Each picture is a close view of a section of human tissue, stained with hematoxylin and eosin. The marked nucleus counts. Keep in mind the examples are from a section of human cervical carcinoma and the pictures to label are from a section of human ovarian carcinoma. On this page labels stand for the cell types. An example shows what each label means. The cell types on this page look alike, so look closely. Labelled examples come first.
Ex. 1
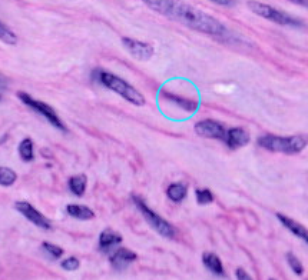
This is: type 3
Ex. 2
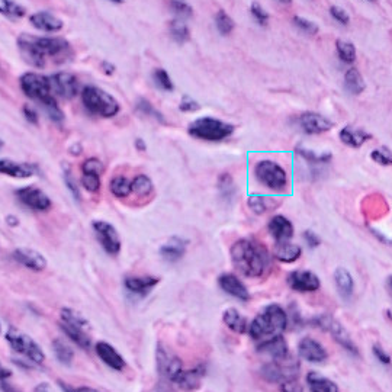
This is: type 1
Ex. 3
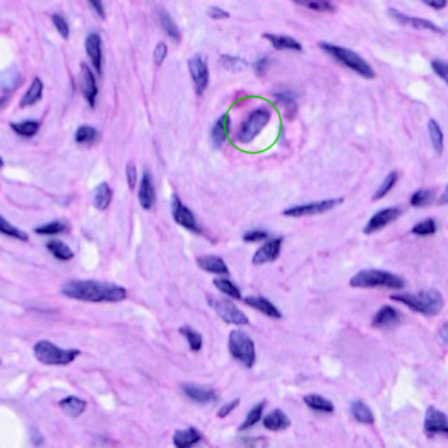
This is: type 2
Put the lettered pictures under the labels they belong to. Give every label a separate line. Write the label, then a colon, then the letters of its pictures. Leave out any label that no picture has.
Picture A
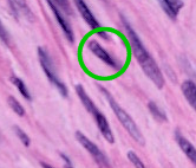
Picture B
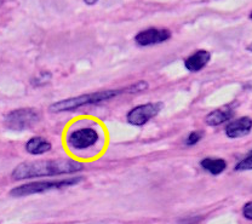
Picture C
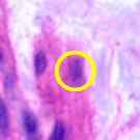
type 3: A, C
type 1: B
